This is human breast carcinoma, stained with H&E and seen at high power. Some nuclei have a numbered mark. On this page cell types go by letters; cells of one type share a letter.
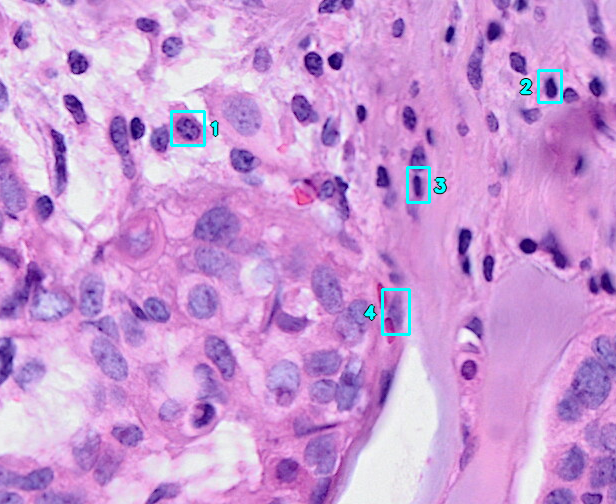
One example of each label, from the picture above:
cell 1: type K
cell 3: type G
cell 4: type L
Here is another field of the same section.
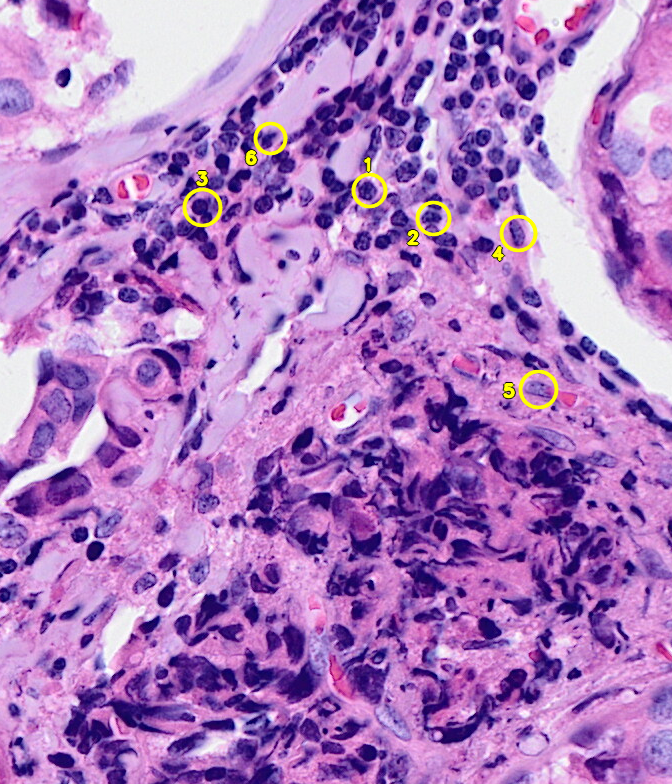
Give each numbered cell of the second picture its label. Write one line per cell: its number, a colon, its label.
1: type G
2: type G
3: type G
4: type K
5: type L
6: type G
